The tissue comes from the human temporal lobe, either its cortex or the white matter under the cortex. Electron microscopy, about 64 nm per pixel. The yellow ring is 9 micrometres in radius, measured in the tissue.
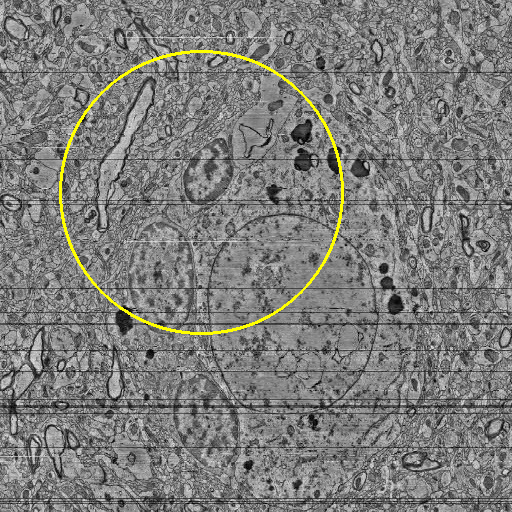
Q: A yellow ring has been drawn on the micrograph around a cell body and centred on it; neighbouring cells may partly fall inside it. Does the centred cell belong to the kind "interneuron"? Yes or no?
No, it belongs to another kind.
